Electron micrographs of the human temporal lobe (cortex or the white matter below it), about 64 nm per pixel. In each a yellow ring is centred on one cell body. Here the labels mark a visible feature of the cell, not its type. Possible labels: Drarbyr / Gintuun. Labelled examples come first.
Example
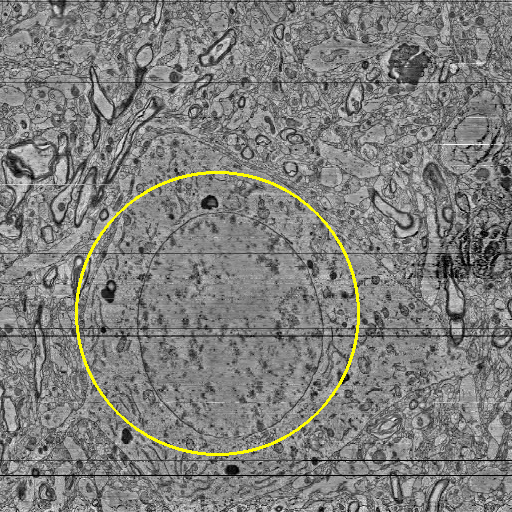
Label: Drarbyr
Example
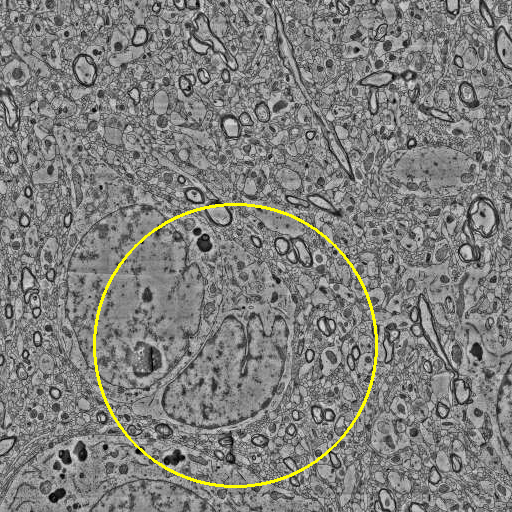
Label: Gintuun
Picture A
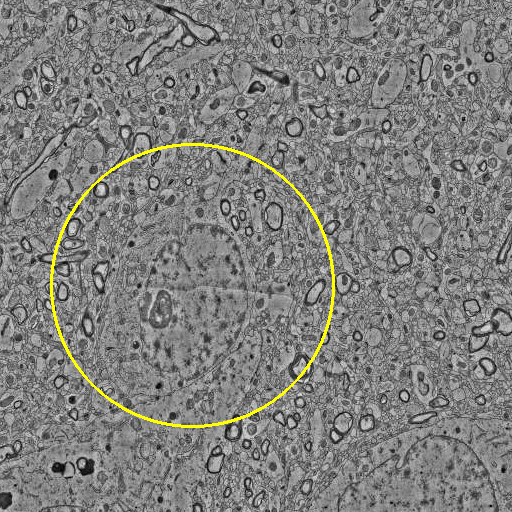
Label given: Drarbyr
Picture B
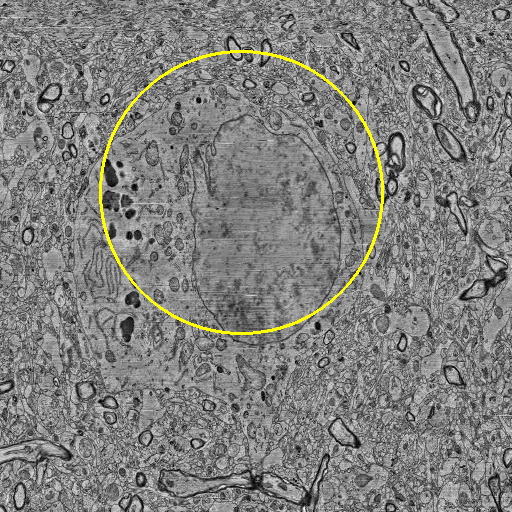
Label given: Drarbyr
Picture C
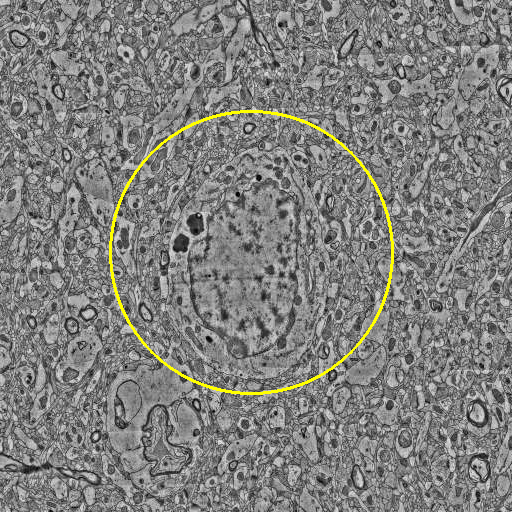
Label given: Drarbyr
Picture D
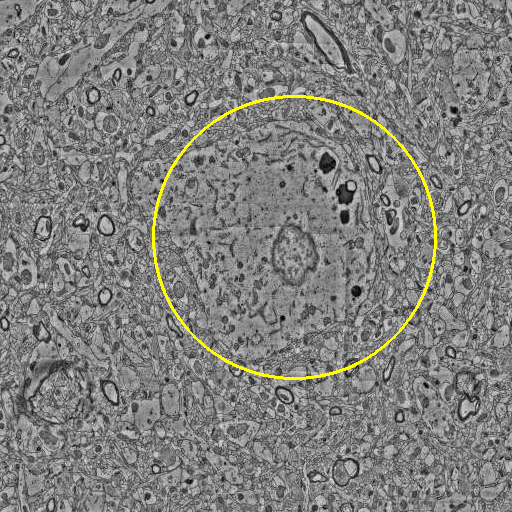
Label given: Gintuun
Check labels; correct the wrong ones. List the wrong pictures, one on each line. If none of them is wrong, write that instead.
B: Gintuun, not Drarbyr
